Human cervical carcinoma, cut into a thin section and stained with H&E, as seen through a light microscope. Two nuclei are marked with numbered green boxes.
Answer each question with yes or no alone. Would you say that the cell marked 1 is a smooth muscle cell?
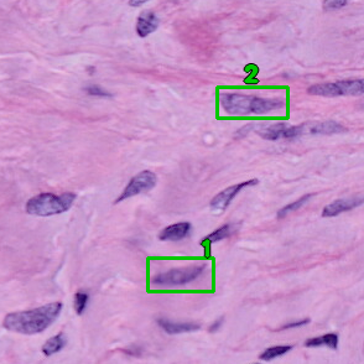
no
